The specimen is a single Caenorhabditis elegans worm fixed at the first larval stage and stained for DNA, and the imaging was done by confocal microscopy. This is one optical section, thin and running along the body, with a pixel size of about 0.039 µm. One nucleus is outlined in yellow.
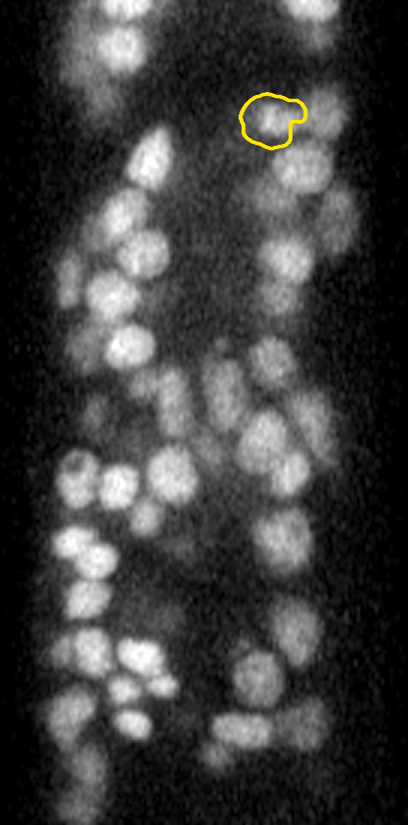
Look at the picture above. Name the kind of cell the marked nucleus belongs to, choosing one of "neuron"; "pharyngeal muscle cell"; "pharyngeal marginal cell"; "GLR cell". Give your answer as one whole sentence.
What is marked is the nucleus of a GLR cell.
